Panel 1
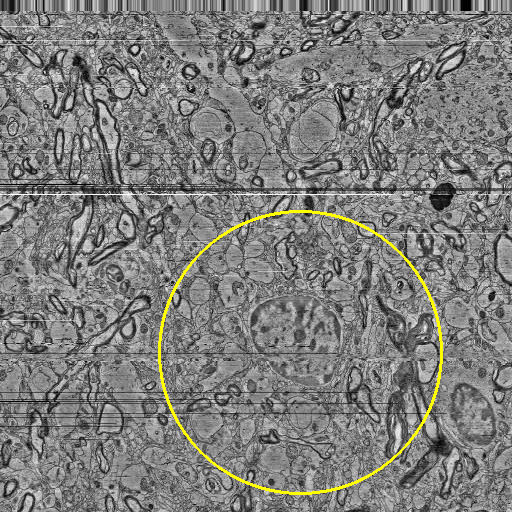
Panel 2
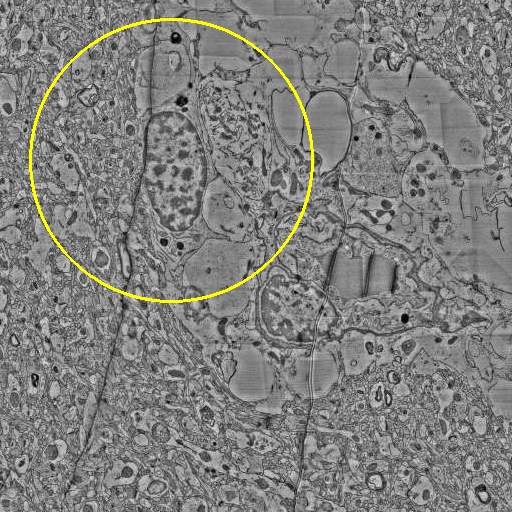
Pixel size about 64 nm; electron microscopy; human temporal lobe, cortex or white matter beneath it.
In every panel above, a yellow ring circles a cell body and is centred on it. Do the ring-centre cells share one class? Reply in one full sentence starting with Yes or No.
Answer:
Yes, the two cells at the ring centres in the panels belong to one class.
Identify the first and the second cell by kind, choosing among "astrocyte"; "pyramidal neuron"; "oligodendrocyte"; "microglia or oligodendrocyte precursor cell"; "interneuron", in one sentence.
The cell in the first picture is a microglial cell or oligodendrocyte precursor cell, and so is the one in the second.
